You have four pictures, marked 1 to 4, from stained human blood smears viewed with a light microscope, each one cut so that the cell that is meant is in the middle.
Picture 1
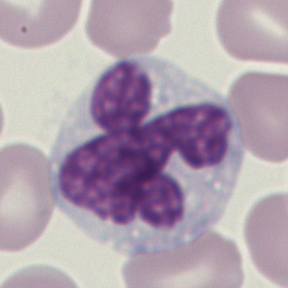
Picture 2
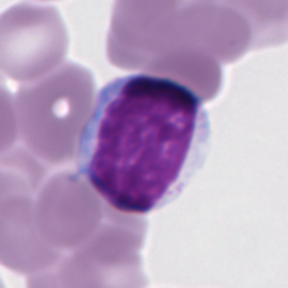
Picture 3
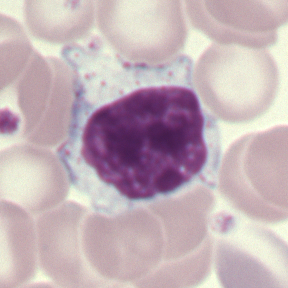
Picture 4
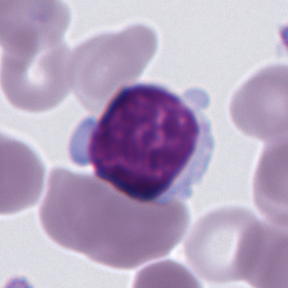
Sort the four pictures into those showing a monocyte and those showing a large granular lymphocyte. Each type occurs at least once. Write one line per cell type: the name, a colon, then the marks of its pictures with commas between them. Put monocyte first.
monocyte: 1
large granular lymphocyte: 2, 3, 4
